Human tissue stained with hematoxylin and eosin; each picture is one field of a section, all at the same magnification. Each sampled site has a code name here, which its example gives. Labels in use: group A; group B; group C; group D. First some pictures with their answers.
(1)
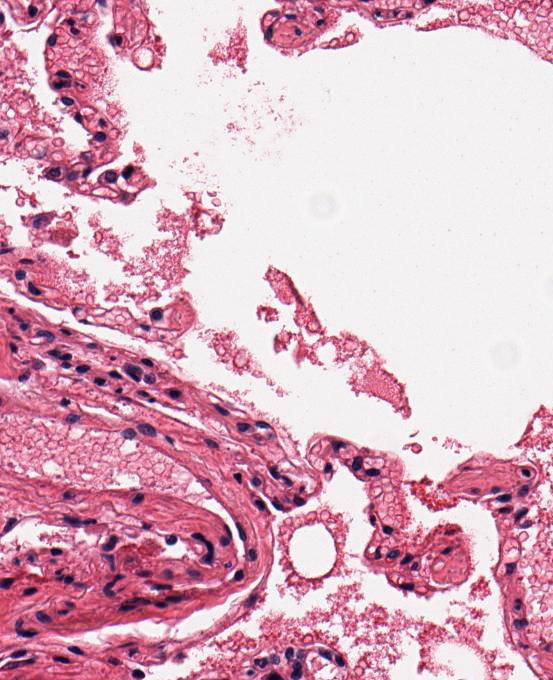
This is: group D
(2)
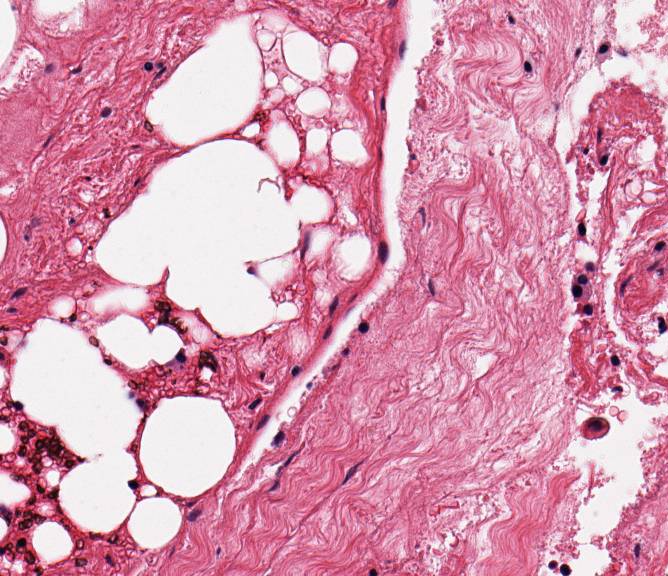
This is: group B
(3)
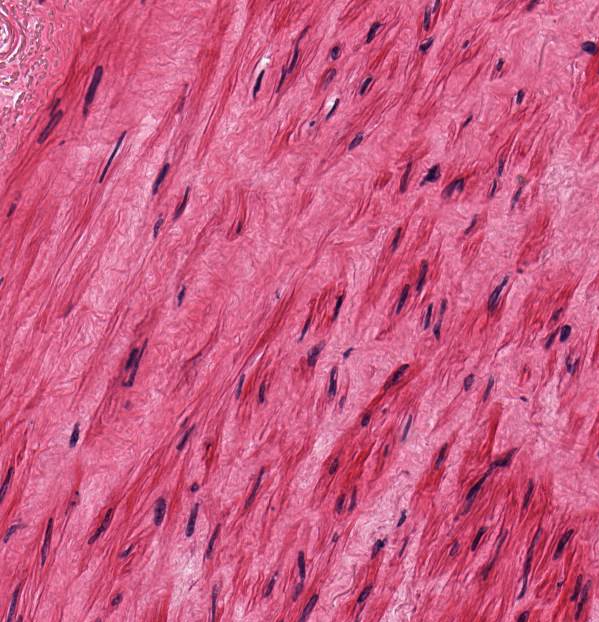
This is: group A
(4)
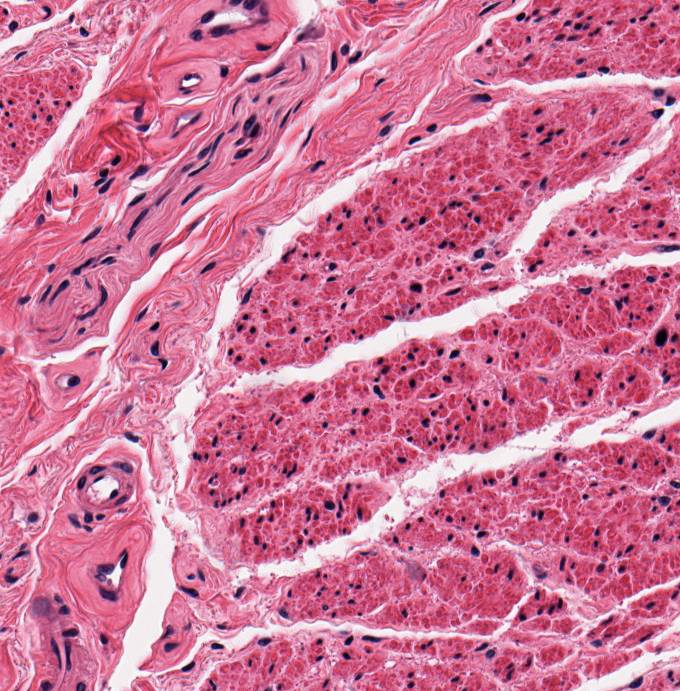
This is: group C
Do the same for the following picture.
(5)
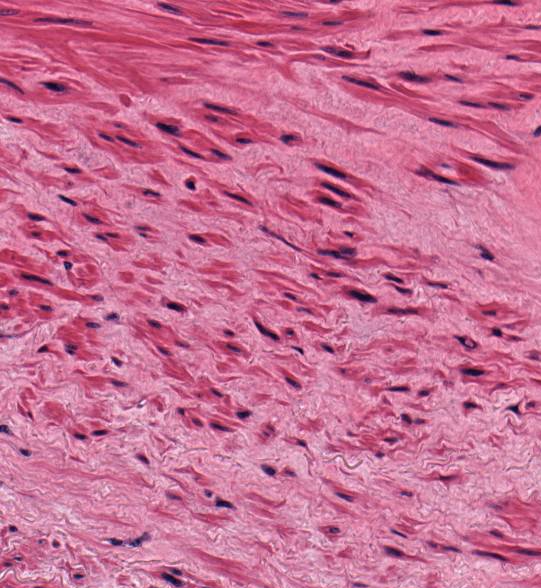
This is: group A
